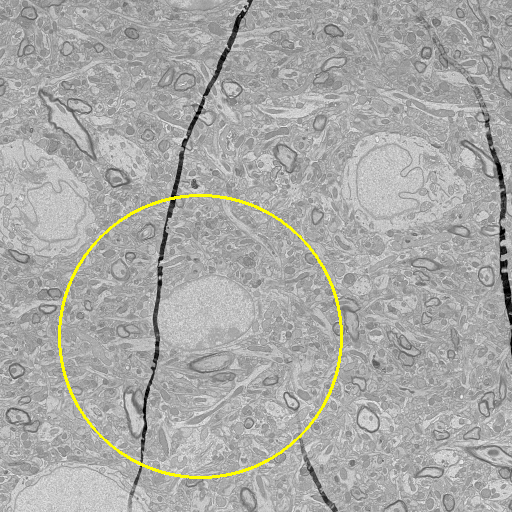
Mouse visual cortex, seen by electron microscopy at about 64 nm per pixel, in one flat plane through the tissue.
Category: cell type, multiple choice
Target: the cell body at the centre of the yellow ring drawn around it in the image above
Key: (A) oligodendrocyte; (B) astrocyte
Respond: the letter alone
B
